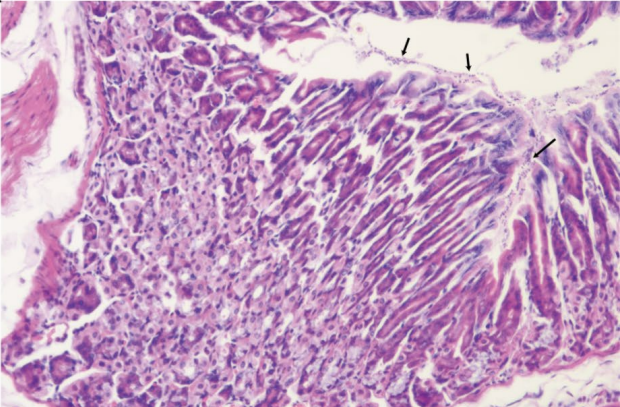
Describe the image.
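Gastric mucosa cut through a fold, with long, tightly packed glands running side by side from the surface toward the base. The glands are lined by columnar epithelial cells with purple-blue nuclei and pink to purple cytoplasm, giving a striped pattern of pale gland lumens between cell columns. Toward the deep part of the mucosa the glands are cut more obliquely, so the cells appear as crowded rounded groups with many scattered nuclei between them. A thin pink band of smooth muscle borders the base of the mucosa. Above, an open lumen holds fine wispy strands of material next to the mucosal surface.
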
